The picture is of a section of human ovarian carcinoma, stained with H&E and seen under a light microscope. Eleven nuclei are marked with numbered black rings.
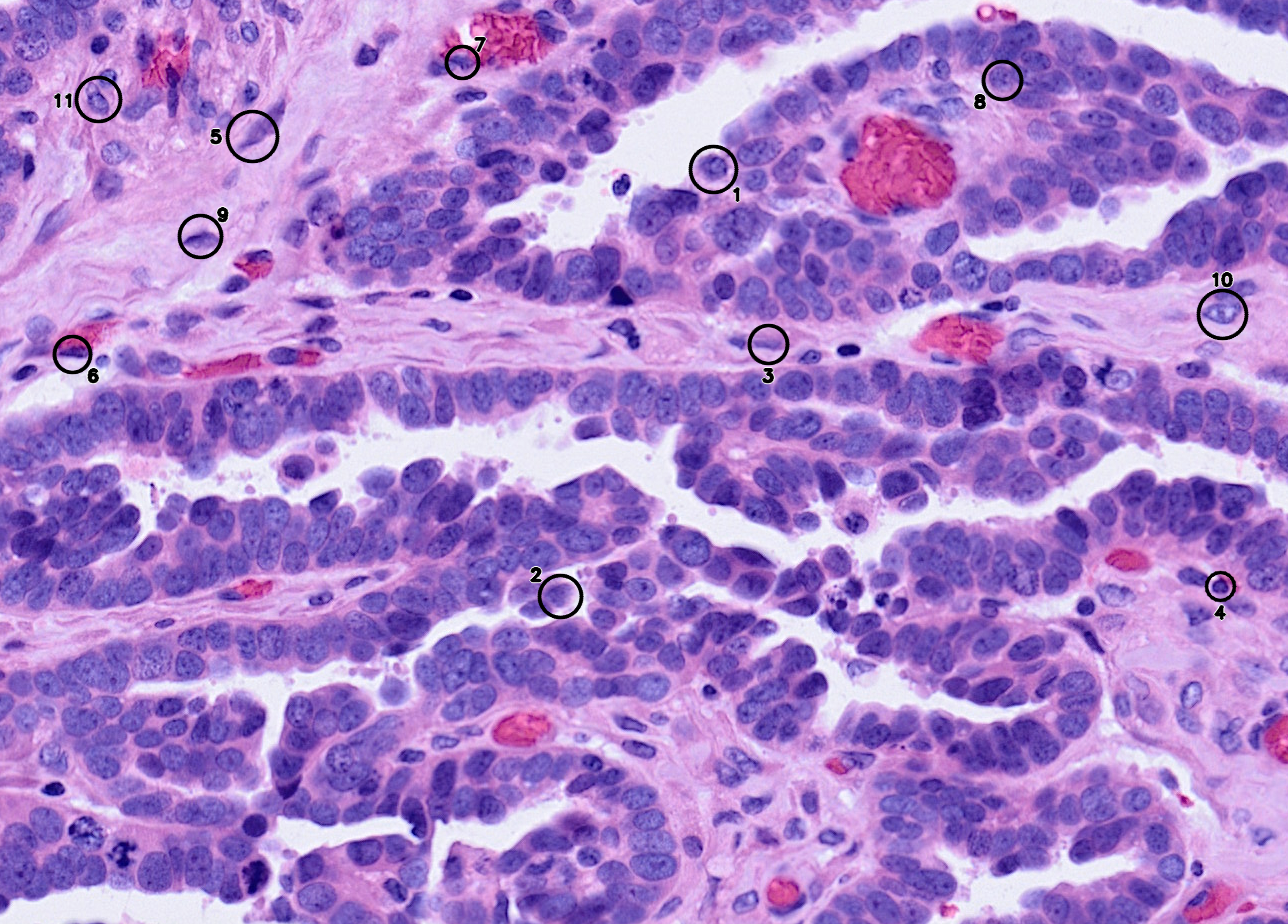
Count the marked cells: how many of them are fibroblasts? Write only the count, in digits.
5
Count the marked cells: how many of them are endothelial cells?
2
